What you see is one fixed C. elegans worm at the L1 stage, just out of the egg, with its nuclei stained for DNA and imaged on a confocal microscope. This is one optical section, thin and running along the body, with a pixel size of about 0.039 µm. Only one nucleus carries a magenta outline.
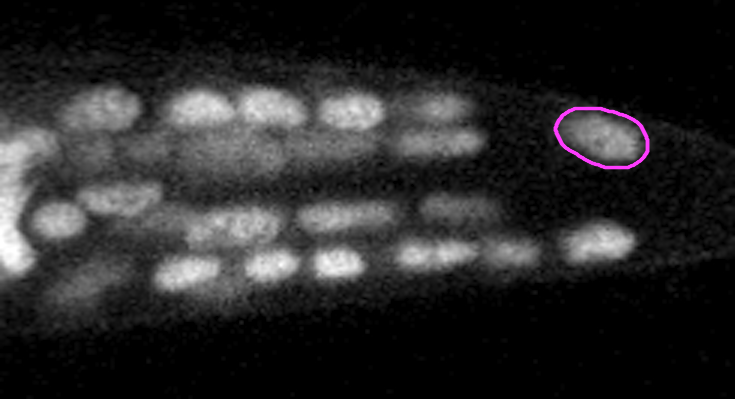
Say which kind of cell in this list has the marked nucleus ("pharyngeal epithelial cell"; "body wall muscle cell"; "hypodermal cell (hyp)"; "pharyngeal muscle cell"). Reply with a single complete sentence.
The nucleus comes from a hypodermal cell (hyp).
